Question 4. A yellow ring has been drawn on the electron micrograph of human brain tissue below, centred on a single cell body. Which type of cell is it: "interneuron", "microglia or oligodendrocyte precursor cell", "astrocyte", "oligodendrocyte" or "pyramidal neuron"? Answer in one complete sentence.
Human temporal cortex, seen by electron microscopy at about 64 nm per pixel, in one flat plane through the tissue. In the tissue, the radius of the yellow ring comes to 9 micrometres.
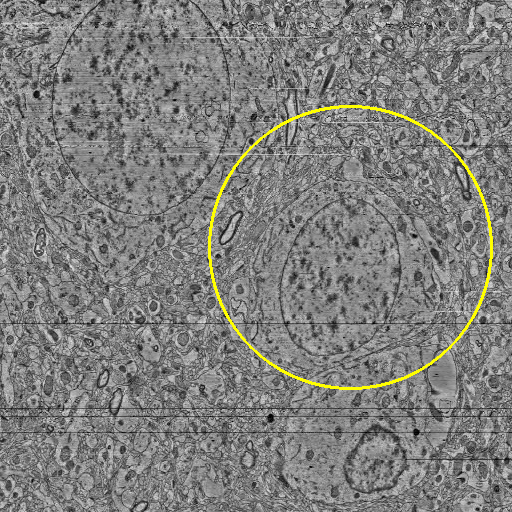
This cell body belongs to a pyramidal neuron.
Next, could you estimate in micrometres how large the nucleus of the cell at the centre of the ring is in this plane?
The nucleus is approximately 11 micrometers long by 8 micrometers wide in this plane.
